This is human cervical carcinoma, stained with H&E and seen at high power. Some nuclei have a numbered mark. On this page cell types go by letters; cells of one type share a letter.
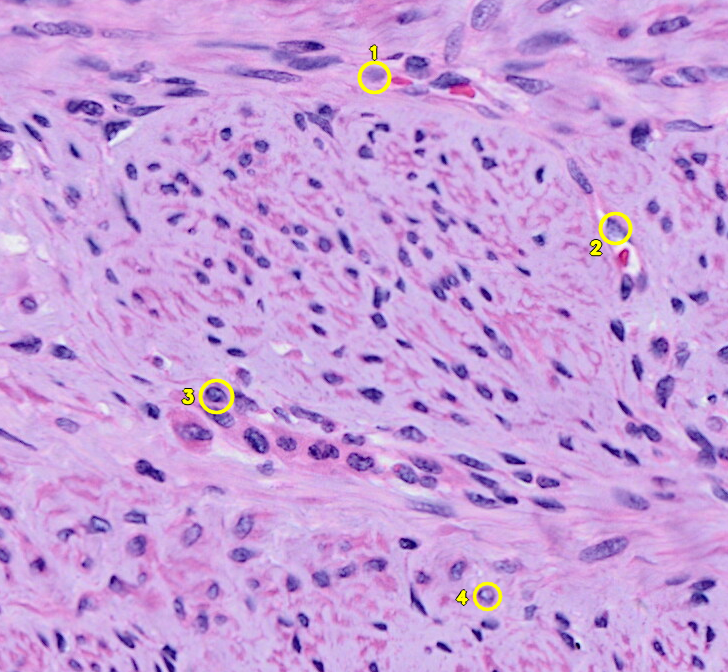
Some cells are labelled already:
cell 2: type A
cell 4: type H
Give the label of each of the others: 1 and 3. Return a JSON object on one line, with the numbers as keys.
{"1": "type A", "3": "type H"}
